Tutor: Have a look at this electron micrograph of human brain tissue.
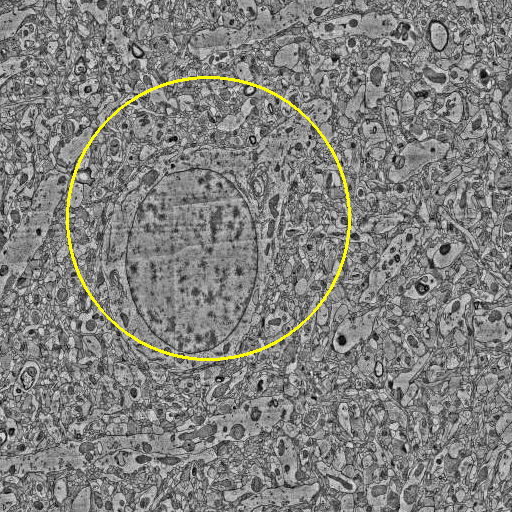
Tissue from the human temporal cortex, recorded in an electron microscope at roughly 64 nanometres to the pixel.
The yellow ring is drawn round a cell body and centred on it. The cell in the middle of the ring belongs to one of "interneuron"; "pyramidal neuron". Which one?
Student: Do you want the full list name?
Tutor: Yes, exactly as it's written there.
pyramidal neuron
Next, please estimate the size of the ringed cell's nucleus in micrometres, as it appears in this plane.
About 12 by 9 micrometers for the nucleus, in this plane.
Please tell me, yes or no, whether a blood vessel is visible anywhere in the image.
No, the picture includes no blood vessel.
